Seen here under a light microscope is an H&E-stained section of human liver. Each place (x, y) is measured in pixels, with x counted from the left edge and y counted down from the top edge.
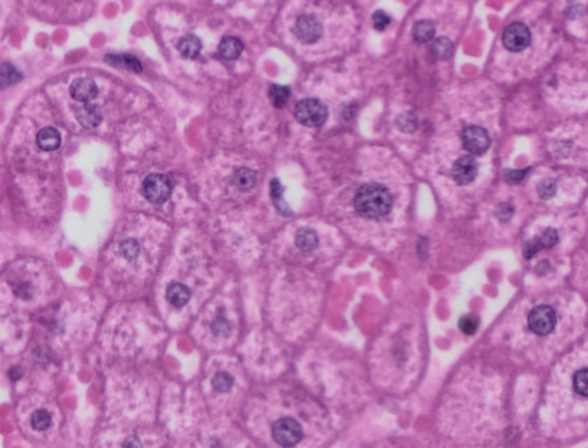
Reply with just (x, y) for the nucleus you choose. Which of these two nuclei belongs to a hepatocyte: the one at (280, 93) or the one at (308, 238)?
(308, 238)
